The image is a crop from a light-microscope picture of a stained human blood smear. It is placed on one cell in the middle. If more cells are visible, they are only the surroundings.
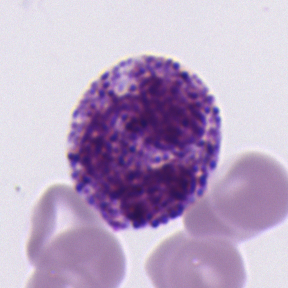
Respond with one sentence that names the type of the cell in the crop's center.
The central element of this crop is a cell, namely a basophil.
